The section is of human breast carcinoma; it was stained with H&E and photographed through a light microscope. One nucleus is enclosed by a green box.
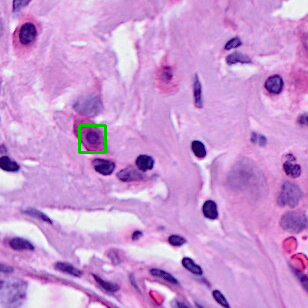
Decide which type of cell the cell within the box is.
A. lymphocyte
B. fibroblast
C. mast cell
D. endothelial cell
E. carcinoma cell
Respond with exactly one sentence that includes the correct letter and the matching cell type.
Option C is correct; the cell within the box is a mast cell.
